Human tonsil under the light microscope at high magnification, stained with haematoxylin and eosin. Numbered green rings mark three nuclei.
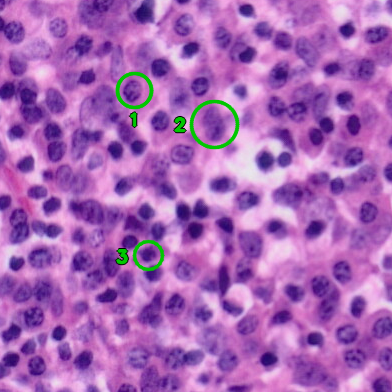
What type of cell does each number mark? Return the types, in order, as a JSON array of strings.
["plasma cell", "squamous epithelial cell", "plasma cell"]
